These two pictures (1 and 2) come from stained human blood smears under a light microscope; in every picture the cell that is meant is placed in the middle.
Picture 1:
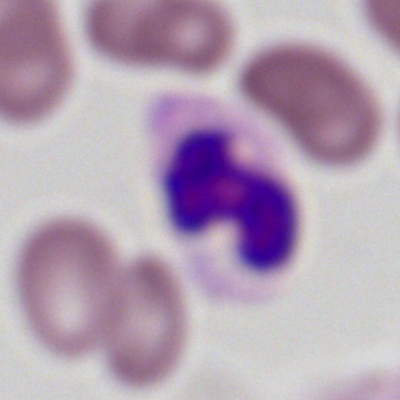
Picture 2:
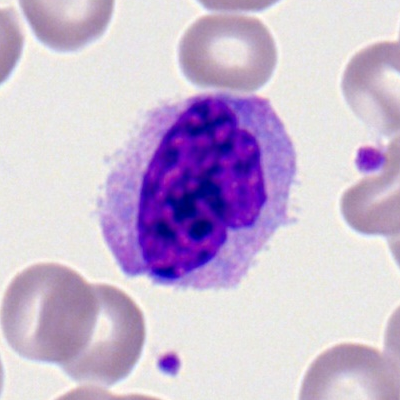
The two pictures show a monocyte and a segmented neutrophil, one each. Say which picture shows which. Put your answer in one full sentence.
It is picture 1 that shows a segmented neutrophil, and picture 2 that shows a monocyte.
